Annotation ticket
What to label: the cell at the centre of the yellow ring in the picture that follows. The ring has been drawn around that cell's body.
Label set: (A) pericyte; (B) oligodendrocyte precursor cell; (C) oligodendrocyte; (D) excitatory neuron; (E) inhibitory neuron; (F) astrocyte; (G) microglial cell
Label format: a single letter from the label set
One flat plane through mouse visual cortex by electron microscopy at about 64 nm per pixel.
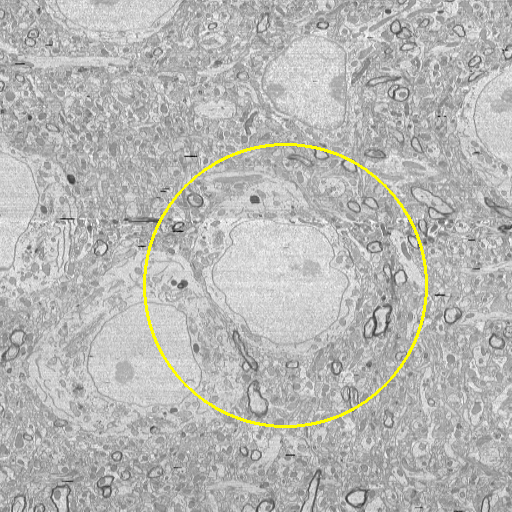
D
